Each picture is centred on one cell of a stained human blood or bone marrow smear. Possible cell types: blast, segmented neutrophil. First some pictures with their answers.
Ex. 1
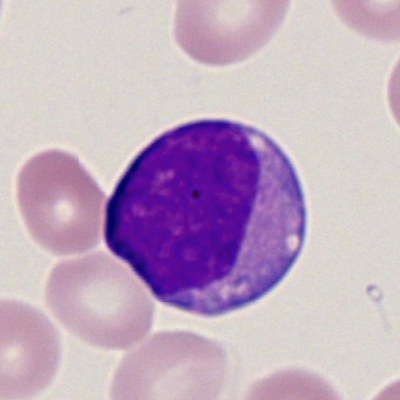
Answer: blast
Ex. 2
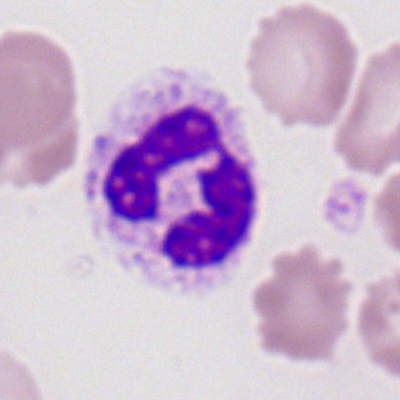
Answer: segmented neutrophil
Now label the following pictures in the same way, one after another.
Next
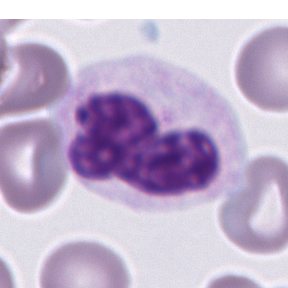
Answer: segmented neutrophil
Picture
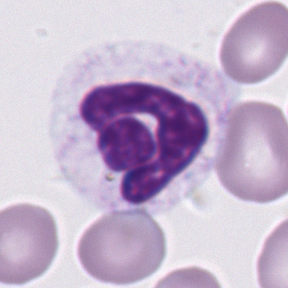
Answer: segmented neutrophil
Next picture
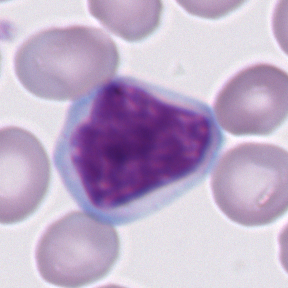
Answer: blast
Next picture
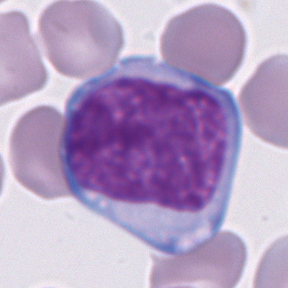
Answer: blast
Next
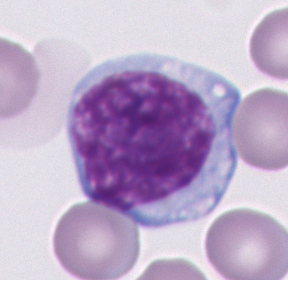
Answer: blast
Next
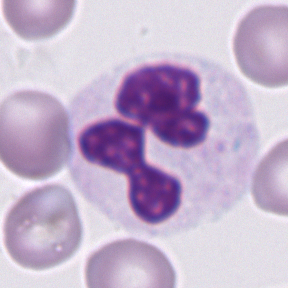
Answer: segmented neutrophil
